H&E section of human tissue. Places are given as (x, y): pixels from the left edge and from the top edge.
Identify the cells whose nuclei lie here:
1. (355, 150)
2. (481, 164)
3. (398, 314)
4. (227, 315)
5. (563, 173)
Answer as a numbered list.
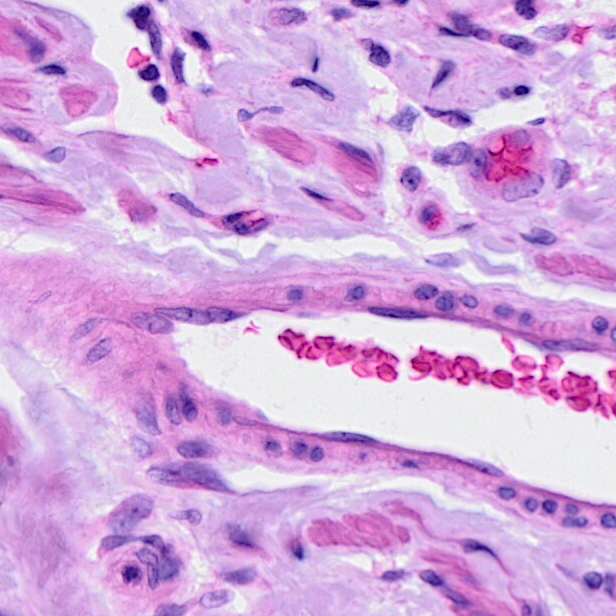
1. smooth muscle cell
2. endothelial cell
3. endothelial cell
4. endothelial cell
5. fibroblast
